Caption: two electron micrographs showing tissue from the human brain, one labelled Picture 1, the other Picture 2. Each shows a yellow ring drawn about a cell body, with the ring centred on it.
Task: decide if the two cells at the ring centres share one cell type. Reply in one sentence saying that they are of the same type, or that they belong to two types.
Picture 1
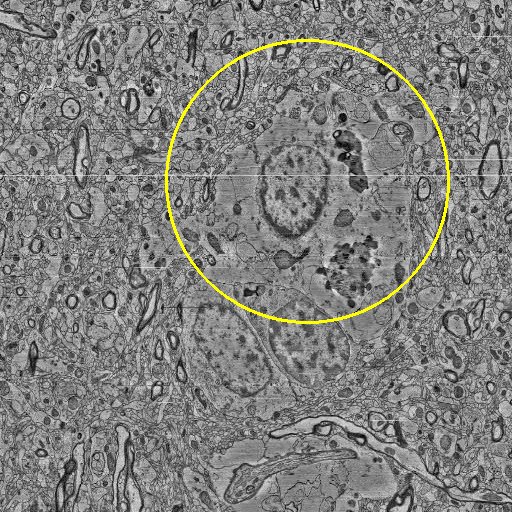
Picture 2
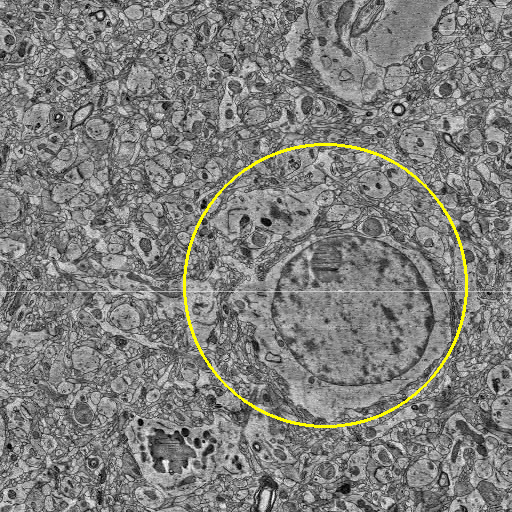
The cells at the ring centres in Picture 1 and Picture 2 are of the same type.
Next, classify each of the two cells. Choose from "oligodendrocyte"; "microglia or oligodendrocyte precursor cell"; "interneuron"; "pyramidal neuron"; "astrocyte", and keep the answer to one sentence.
Each of the two rings is centred on an astrocyte.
